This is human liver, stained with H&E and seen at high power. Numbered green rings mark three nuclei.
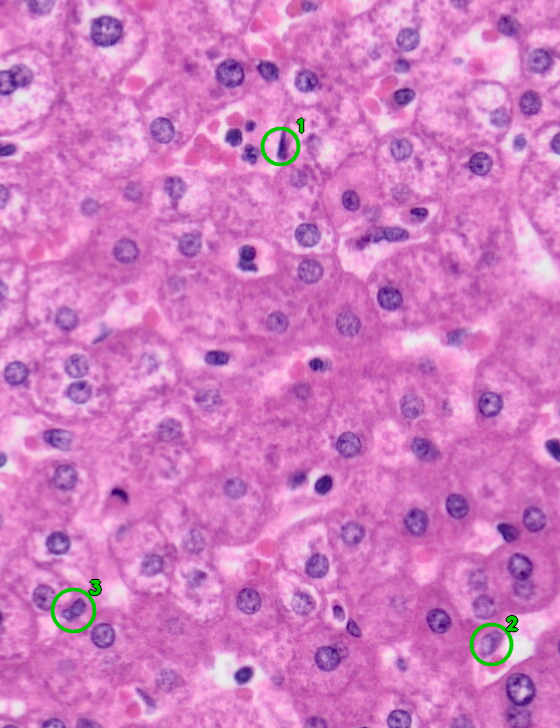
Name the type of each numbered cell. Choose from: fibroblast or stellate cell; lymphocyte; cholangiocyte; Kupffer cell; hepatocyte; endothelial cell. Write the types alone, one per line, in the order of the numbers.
endothelial cell
Kupffer cell
fibroblast or stellate cell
